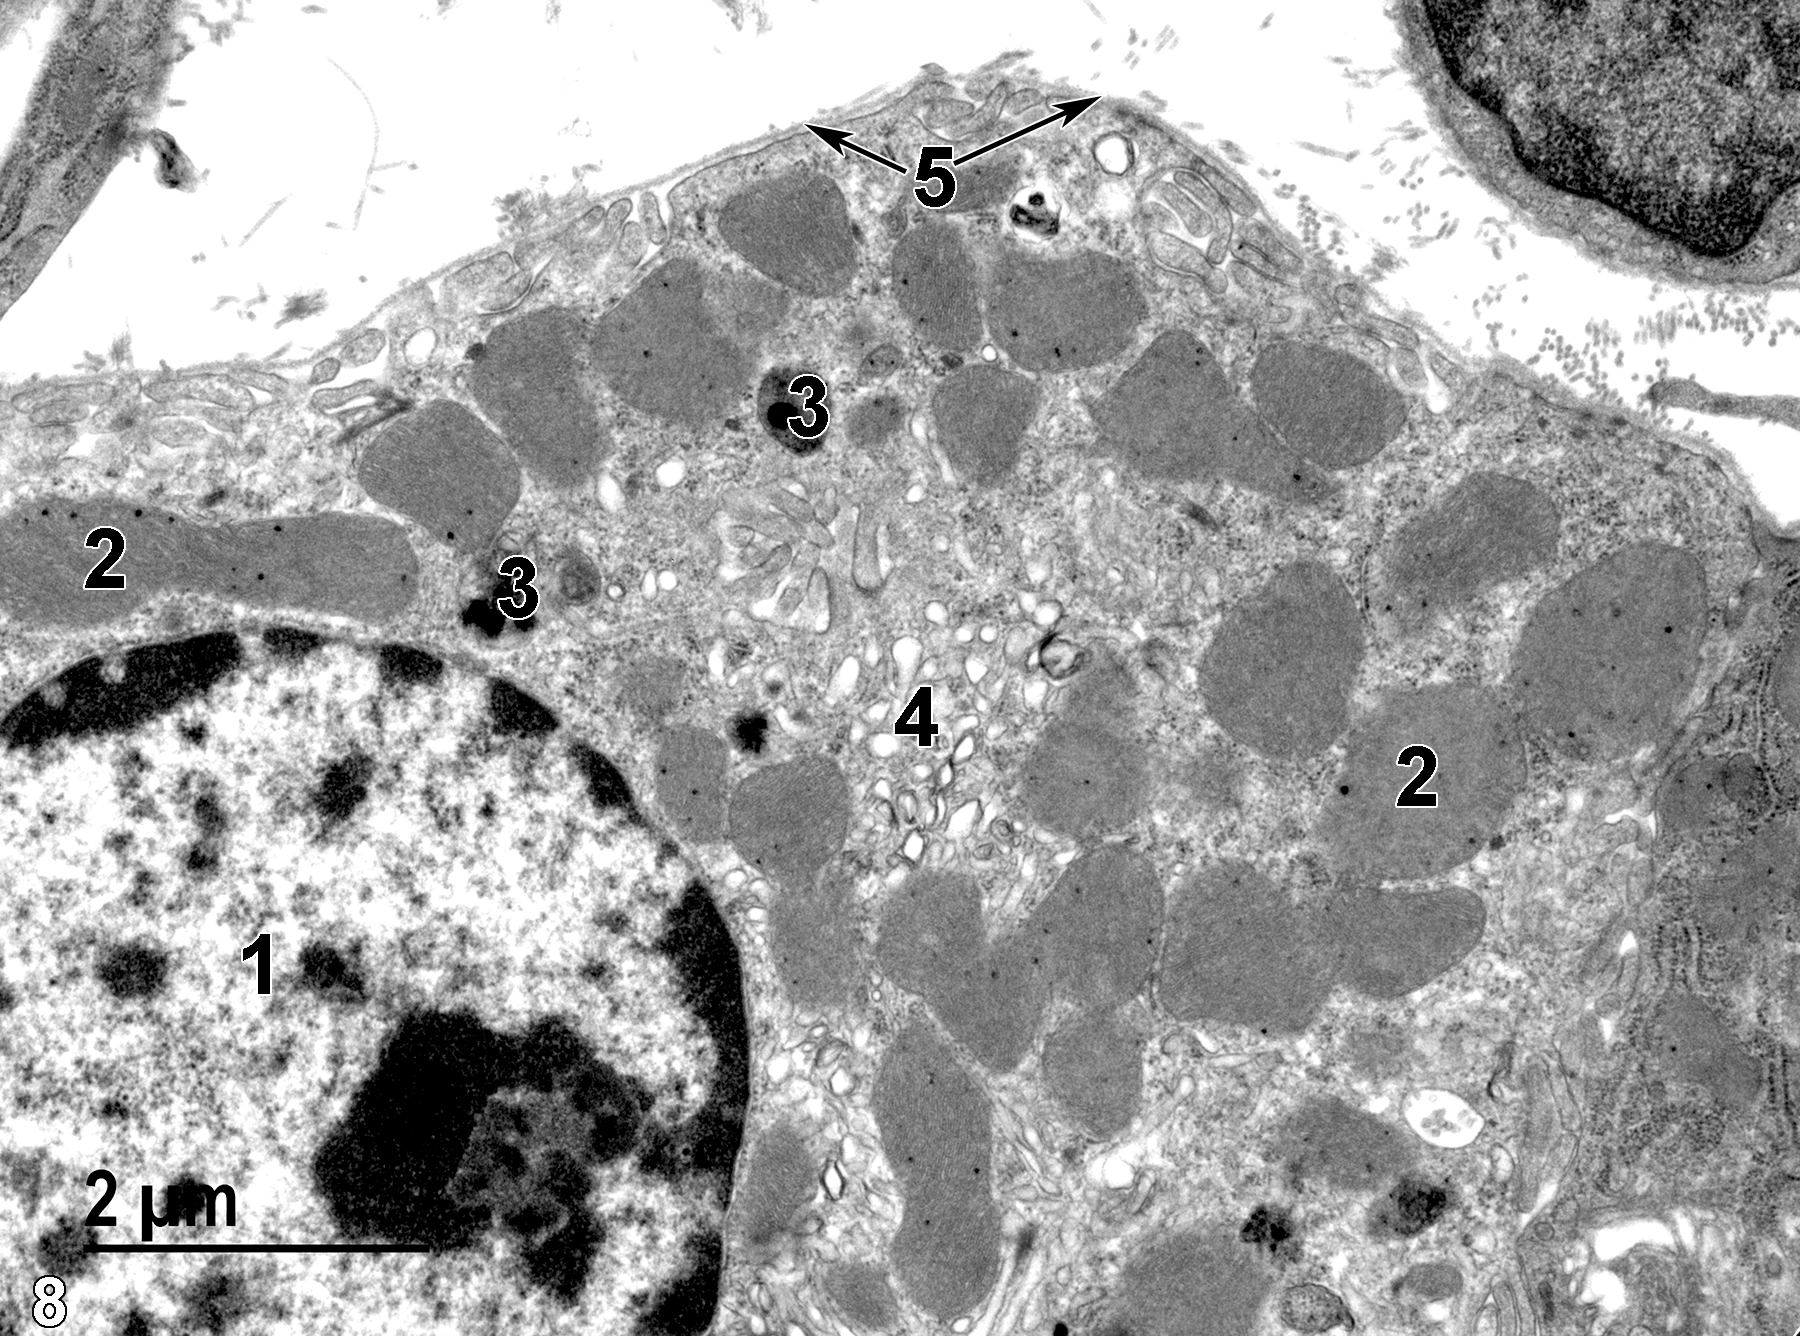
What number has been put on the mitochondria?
It's 2.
